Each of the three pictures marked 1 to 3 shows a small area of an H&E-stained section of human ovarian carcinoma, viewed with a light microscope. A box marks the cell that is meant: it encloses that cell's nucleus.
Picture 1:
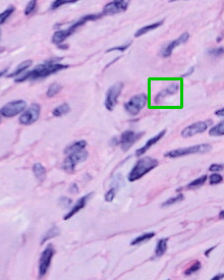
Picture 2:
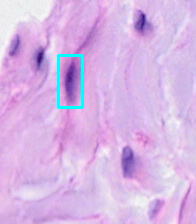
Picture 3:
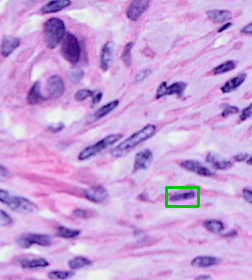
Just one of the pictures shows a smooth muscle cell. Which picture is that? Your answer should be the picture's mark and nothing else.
1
